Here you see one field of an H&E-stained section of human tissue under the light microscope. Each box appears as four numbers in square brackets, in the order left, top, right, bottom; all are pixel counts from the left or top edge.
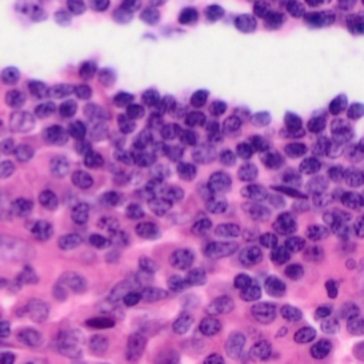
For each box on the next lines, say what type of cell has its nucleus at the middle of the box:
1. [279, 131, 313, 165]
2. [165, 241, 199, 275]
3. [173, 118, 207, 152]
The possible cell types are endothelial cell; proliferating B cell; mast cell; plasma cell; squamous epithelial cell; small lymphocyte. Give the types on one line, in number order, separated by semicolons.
small lymphocyte; plasma cell; small lymphocyte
